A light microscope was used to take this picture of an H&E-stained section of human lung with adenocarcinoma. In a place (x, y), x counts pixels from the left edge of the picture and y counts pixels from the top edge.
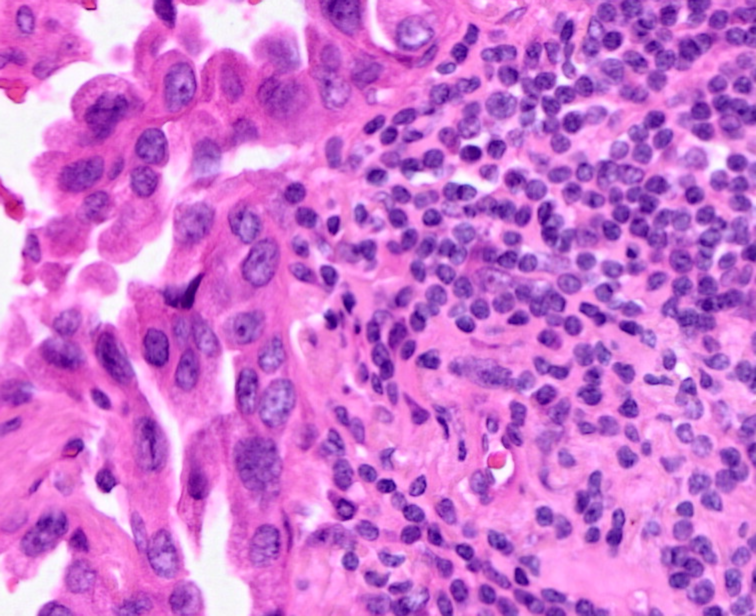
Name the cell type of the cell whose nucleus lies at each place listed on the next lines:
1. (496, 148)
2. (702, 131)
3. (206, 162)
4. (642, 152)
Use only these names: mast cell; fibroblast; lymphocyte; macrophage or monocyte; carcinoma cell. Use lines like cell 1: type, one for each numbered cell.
cell 1: lymphocyte
cell 2: lymphocyte
cell 3: carcinoma cell
cell 4: lymphocyte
